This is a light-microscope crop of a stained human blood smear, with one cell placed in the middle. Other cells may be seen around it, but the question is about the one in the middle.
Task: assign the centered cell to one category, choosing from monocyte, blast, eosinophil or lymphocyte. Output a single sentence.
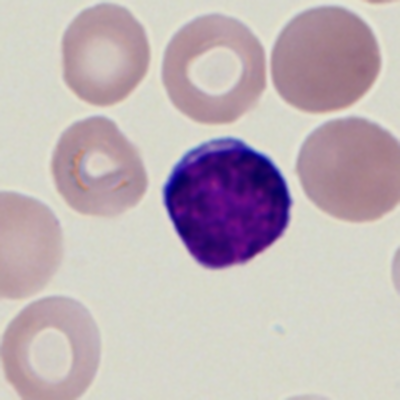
What the crop centres on is a lymphocyte.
